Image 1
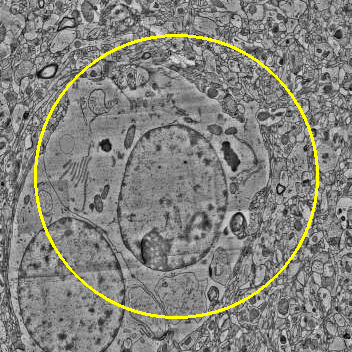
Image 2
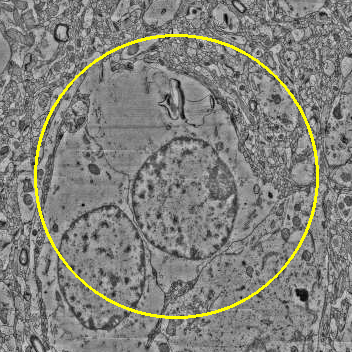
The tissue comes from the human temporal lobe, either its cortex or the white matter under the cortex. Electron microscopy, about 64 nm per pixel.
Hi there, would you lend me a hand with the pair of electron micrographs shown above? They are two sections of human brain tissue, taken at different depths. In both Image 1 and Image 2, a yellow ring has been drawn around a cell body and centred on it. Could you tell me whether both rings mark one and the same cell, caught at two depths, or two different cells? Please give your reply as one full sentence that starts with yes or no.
No, the rings single out two cells that are separate from each other.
